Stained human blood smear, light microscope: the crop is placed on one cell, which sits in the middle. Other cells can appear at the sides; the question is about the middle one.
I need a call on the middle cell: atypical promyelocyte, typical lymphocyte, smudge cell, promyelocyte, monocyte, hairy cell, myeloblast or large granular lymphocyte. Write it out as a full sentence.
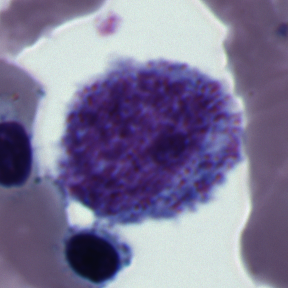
The single cell at the center of the crop is a promyelocyte.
